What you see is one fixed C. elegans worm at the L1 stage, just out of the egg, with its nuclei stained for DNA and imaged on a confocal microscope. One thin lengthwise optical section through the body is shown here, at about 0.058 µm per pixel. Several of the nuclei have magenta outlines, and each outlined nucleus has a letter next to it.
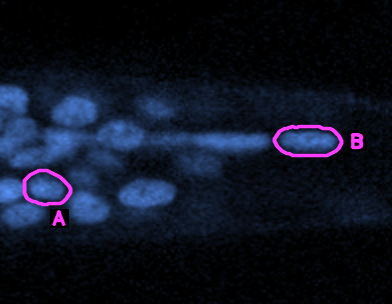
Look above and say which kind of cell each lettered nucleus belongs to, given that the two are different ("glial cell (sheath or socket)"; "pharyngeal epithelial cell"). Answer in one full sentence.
A is from a glial cell (sheath or socket), and B is from a pharyngeal epithelial cell.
